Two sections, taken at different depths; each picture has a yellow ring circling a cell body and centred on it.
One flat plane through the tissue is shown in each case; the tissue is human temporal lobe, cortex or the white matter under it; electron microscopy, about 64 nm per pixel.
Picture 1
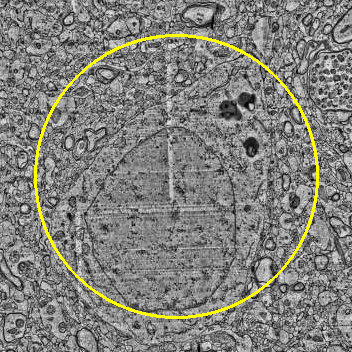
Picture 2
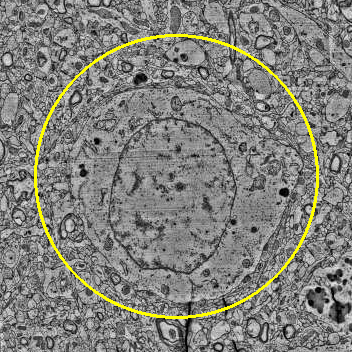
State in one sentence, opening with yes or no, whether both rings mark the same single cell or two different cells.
No, a different cell sits inside each of the two rings.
